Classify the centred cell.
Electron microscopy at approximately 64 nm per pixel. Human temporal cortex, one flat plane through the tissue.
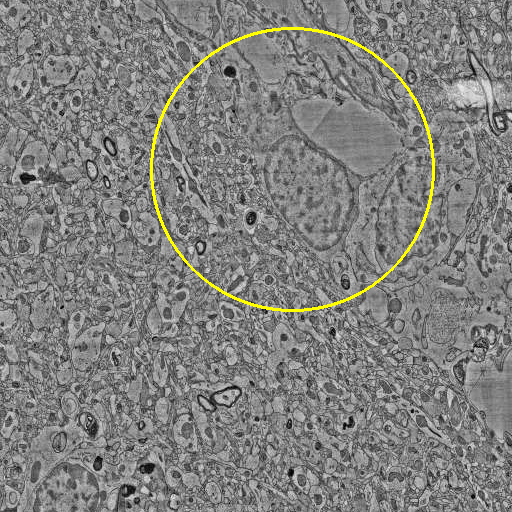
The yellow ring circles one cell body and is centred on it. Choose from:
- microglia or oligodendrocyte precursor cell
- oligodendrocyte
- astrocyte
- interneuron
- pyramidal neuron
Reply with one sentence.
The ring is centred on an oligodendrocyte.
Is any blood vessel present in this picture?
Yes, a blood vessel shows in the picture.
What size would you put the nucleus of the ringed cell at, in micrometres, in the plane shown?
In this plane the nucleus measures roughly 8 by 5 micrometers.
